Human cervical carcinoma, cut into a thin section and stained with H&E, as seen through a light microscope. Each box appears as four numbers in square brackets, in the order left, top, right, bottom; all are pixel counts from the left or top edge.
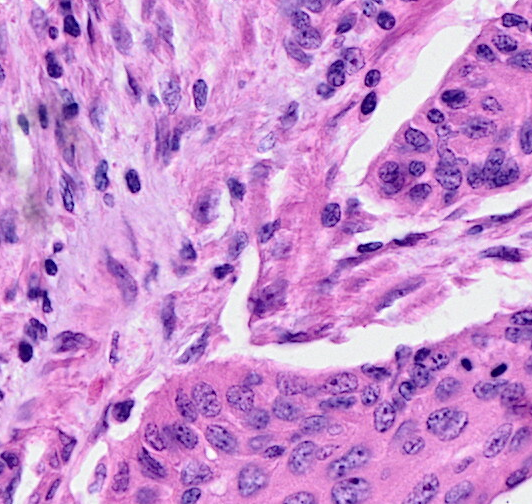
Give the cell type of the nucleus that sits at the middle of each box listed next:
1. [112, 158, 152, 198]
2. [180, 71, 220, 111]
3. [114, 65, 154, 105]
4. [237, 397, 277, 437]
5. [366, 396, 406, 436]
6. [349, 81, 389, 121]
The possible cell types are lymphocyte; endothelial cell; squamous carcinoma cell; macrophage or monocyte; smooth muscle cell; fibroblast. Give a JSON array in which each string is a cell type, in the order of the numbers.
["lymphocyte", "lymphocyte", "fibroblast", "squamous carcinoma cell", "squamous carcinoma cell", "lymphocyte"]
